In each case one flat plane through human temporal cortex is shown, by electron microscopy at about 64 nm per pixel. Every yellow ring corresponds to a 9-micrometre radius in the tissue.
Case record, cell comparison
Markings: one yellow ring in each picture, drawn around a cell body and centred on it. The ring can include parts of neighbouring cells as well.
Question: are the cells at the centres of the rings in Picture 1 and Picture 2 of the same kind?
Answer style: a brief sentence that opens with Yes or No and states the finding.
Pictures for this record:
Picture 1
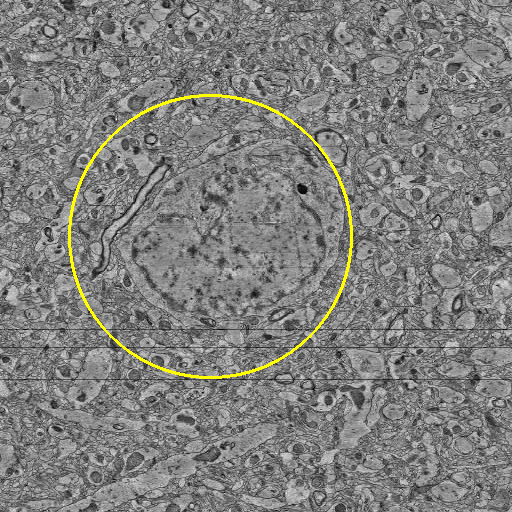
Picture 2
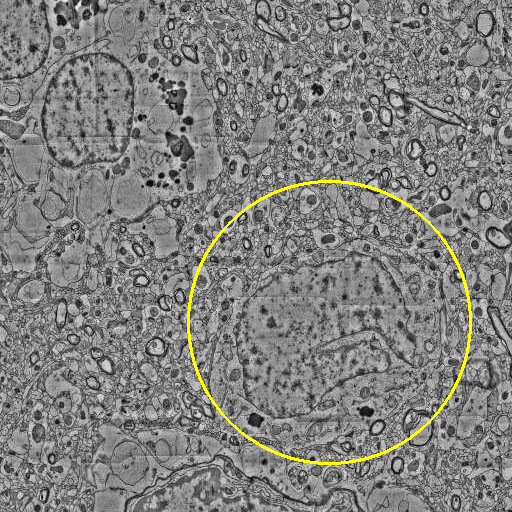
Yes, the cells in Picture 1 and Picture 2 are of the same kind.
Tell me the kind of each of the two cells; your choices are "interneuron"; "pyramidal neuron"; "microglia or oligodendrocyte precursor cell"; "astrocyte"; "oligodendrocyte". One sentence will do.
The cell in the first picture is an interneuron, and so is the one in the second.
